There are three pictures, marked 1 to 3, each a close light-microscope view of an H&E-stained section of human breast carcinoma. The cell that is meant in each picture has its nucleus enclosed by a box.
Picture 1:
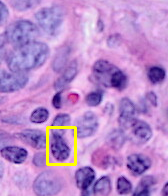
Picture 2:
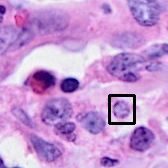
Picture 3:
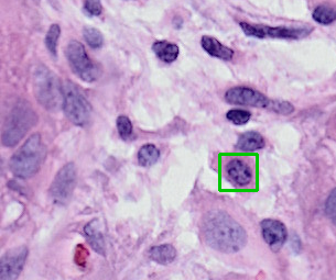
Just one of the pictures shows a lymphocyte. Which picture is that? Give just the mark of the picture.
1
